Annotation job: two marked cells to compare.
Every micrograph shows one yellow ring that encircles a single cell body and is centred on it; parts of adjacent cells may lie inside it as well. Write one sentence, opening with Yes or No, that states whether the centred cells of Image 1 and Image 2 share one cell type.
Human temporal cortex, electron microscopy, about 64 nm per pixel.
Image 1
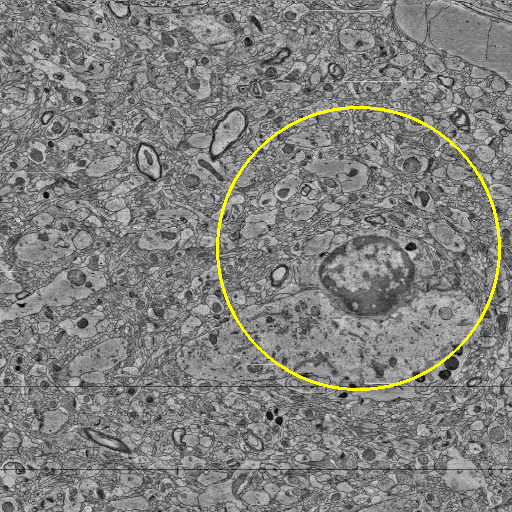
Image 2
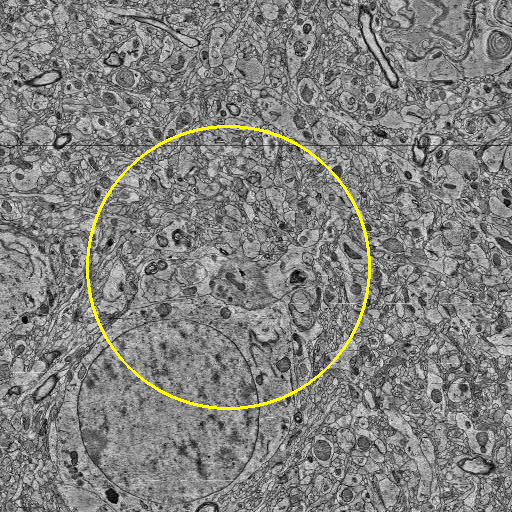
No, the cell centred in Image 1 and the cell centred in Image 2 are of two types.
